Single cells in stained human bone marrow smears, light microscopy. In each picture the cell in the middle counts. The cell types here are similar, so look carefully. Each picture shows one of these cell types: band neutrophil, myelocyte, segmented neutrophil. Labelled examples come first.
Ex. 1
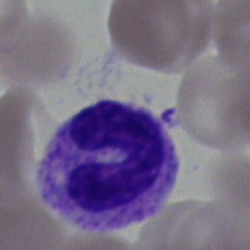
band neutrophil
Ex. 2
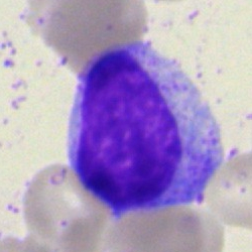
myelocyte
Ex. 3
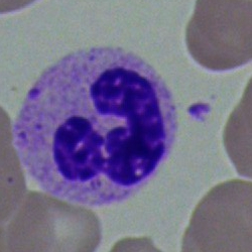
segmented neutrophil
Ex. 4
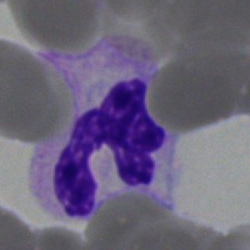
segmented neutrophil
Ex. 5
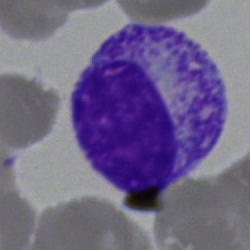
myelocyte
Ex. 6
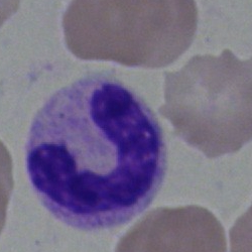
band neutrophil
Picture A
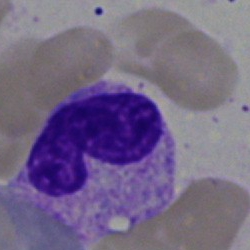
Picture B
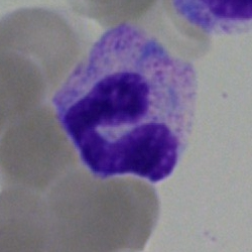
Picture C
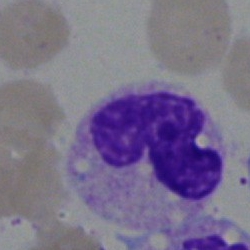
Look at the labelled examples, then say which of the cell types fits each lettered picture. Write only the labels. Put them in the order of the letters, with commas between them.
band neutrophil, segmented neutrophil, band neutrophil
